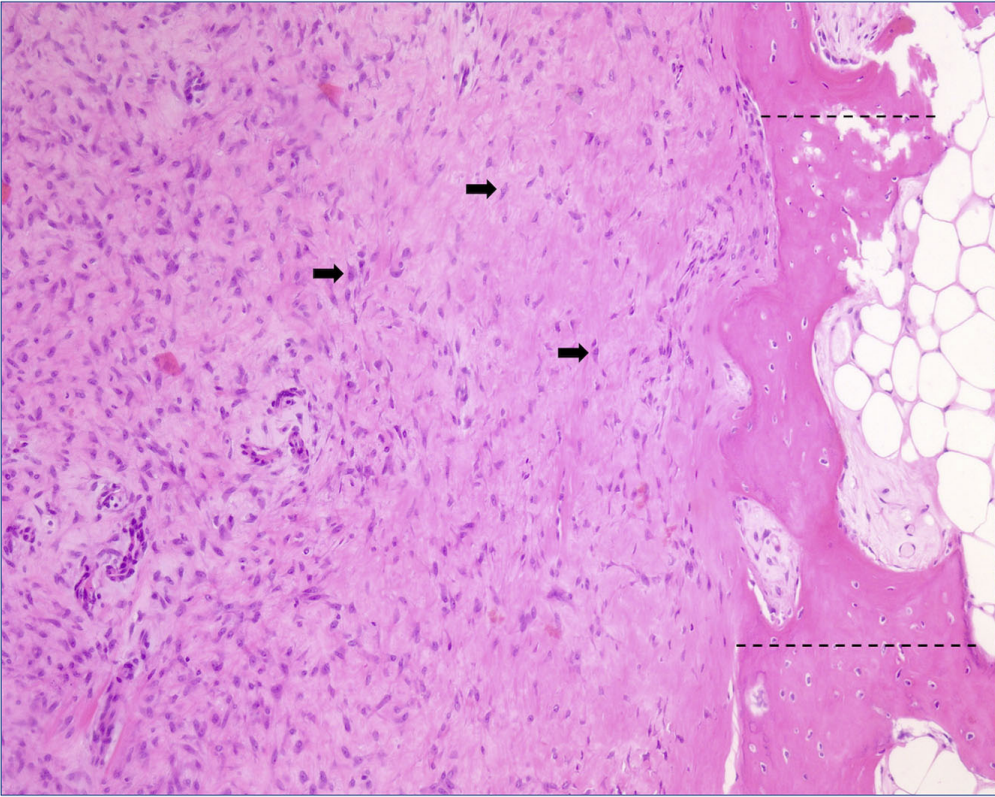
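This field shows a dense proliferation of fibroblasts next to well-formed bone. On the left, plump to slender spindle cells with elongated, purple nuclei lie in a pale pink collagenous matrix. Toward the right, the fibrous tissue abuts a trabecula of bone. Beyond the bone lies fatty marrow made of large empty polygonal fat cells. The nuclei look bland, and inflammatory cells are scarce.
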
